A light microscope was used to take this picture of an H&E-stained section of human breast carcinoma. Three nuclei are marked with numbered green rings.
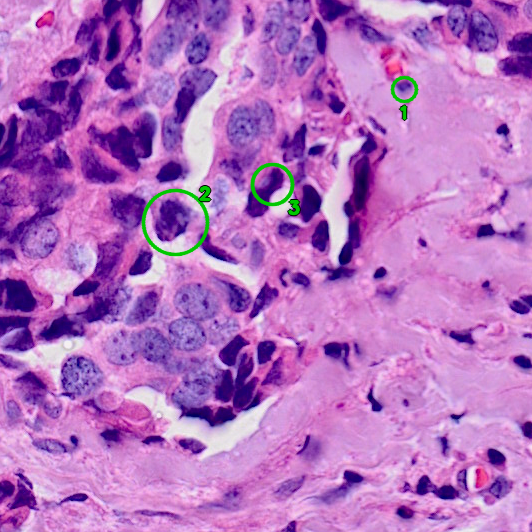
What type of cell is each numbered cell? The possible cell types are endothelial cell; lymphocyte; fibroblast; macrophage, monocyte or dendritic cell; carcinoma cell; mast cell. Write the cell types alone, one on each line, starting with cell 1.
endothelial cell
carcinoma cell
carcinoma cell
